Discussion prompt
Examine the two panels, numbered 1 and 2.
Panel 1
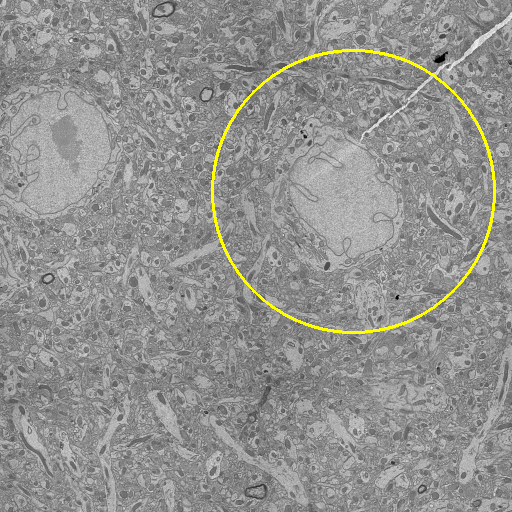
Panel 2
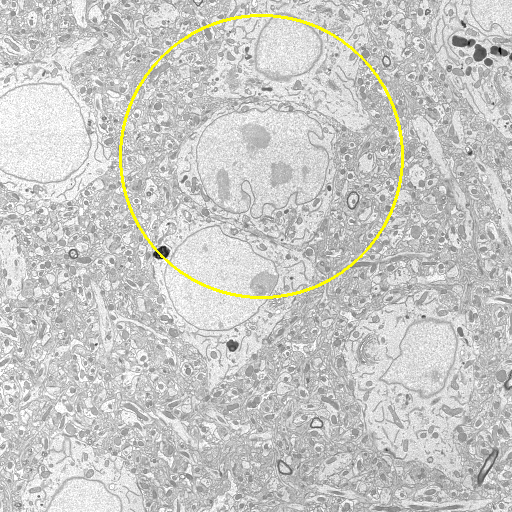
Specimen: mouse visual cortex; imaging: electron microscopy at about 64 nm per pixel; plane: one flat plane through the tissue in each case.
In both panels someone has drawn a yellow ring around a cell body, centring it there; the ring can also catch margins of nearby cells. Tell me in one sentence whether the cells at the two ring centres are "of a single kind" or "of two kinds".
Taken together, the two cells centred in the rings of Panels 1 and 2 are of a single kind.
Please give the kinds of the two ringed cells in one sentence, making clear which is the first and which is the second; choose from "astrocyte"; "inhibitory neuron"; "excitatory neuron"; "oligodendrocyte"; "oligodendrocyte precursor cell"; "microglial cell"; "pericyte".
Each cell at the centre of a ring is an inhibitory neuron.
